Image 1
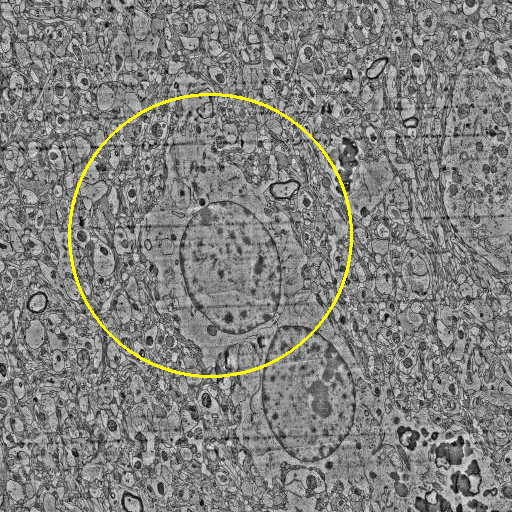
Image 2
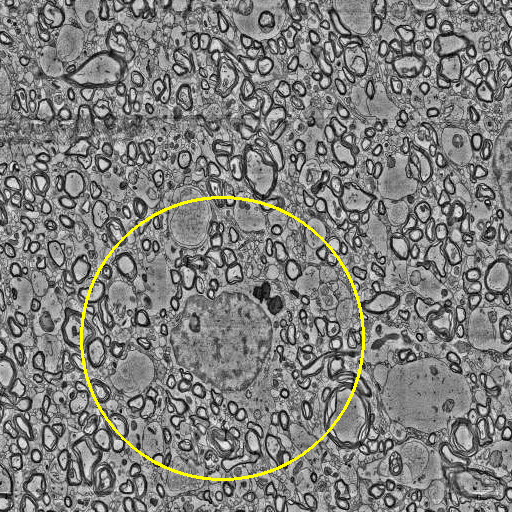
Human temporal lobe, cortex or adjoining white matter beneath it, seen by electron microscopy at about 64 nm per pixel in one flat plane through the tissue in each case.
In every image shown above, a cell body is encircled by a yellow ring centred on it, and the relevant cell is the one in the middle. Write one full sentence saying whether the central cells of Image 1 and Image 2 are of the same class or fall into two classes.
The cell at the ring's centre in Image 1 and its counterpart in Image 2 fall into two classes.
